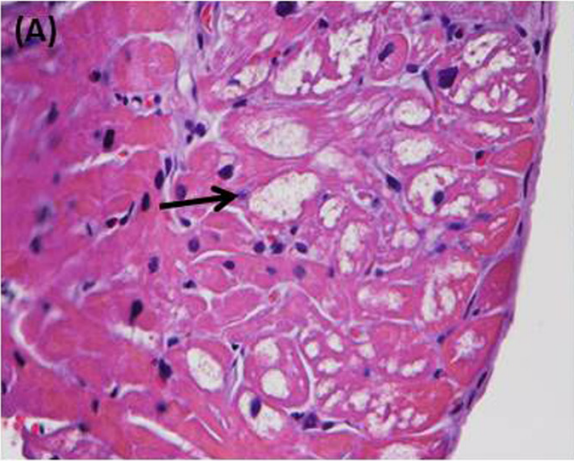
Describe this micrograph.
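These are heart muscle cells cut across, with pink cytoplasm and dark purple nuclei, separated by thin strands of connective tissue. Many of the cells are filled in their center by large pale, foamy vacuoles that leave only a rim of pink cytoplasm. Small dark nuclei of interstitial cells lie in the spaces between the muscle cells.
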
